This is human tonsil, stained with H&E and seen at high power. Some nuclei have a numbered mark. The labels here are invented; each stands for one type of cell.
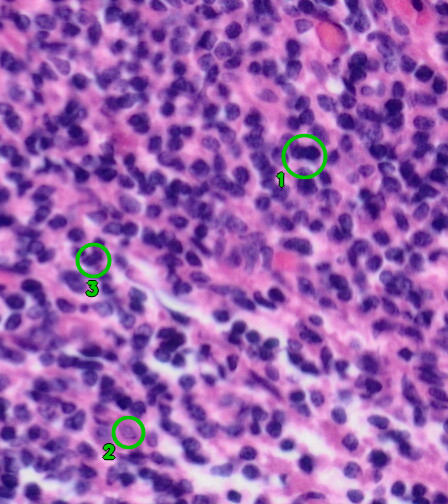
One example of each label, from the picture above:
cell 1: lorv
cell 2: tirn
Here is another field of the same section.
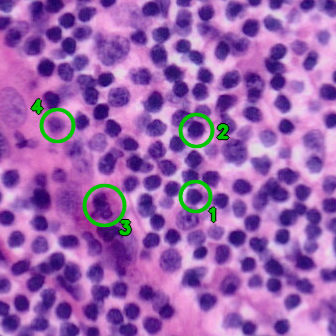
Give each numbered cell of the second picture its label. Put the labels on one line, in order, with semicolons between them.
lorv; lorv; tirn; tirn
